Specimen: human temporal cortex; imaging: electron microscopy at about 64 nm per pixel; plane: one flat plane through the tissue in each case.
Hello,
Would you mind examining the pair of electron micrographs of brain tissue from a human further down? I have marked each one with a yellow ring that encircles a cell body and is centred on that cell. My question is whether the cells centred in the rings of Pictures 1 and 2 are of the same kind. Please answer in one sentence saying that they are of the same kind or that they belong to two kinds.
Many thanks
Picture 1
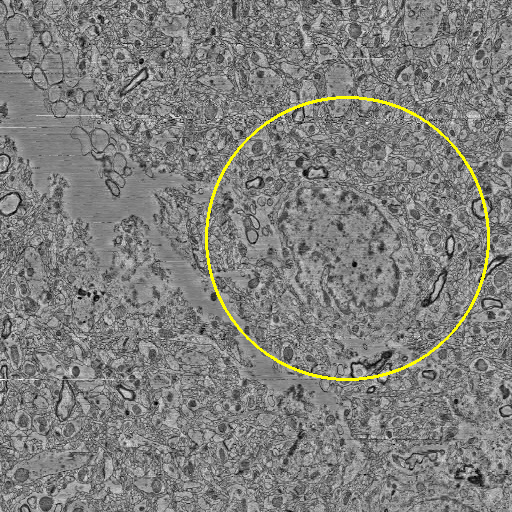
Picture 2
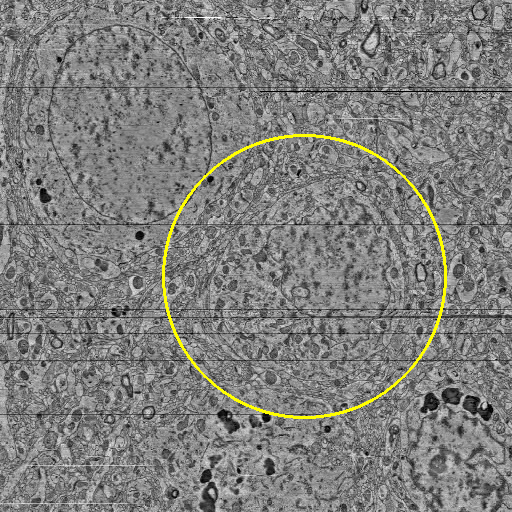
In Pictures 1 and 2, the cells at the heart of the rings are of the same kind.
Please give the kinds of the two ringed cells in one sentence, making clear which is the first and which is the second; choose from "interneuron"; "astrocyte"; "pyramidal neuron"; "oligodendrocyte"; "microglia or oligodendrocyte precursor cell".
Both cells are the same kind, each one being an interneuron.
